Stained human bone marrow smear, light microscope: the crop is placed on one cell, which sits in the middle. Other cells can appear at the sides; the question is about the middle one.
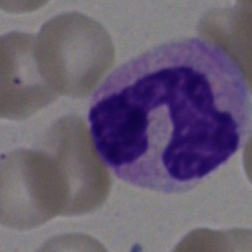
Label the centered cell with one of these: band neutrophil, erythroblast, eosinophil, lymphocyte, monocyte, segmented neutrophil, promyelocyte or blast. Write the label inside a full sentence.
Looking at the middle of the crop, the cell there is a band neutrophil.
